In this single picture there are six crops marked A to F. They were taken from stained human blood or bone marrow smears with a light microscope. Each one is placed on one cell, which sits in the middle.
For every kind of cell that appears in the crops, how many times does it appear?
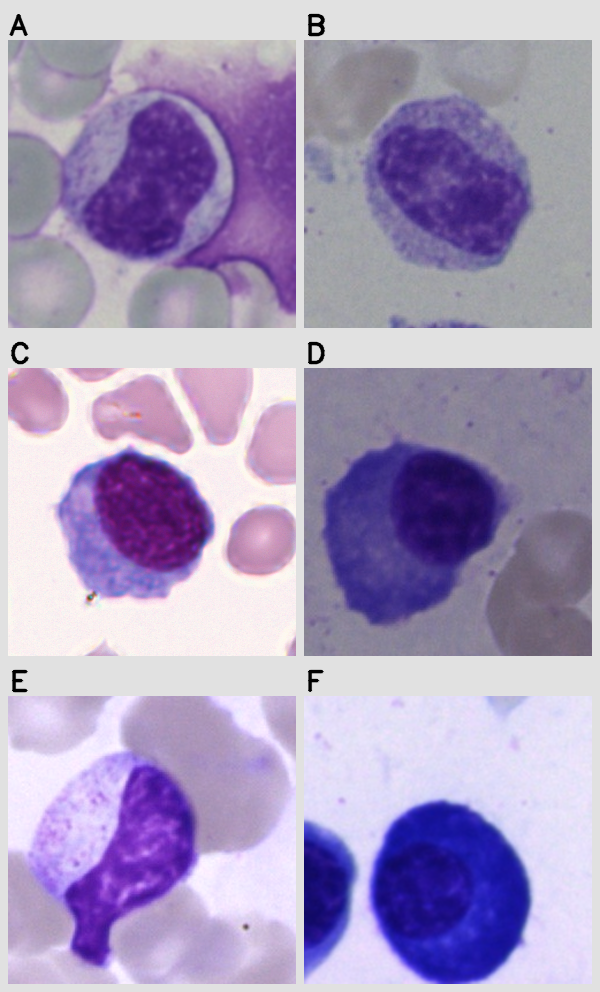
metamyelocyte: 3
plasma cell: 3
